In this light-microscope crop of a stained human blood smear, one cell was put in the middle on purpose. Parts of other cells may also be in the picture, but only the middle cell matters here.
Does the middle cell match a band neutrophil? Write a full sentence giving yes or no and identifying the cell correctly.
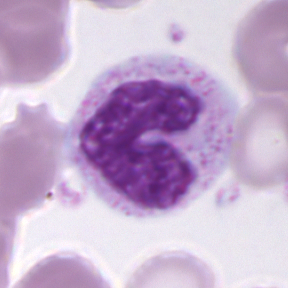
Yes, the cell in the middle of the crop is a band neutrophil.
